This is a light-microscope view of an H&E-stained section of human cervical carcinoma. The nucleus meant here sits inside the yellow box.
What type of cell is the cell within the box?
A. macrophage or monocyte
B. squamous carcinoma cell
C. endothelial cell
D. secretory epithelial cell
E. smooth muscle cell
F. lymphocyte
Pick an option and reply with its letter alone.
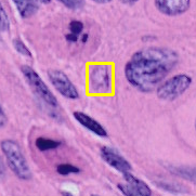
B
